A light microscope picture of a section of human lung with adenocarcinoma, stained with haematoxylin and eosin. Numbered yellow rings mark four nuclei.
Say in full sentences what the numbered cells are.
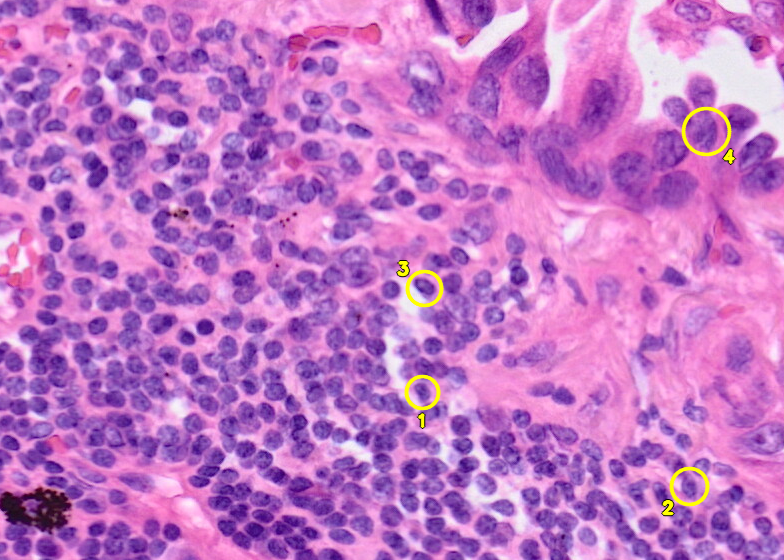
Cells 1, 2 and 3 are lymphocytes. Cell 4 is a carcinoma cell.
